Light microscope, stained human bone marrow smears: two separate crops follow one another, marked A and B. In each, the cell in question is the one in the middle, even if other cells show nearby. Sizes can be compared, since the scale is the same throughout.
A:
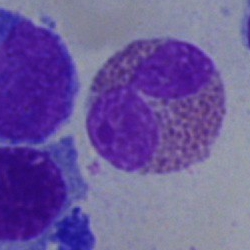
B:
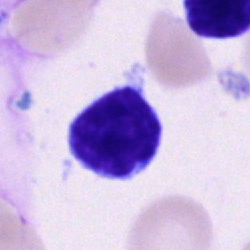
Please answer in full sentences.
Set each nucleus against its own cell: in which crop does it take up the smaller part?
Of the two, the nucleus in crop A leaves more room for cytoplasm.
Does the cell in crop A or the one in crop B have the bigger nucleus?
Crop A shows the larger nucleus; it covers about 1.5 times the area of the nucleus in crop B.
